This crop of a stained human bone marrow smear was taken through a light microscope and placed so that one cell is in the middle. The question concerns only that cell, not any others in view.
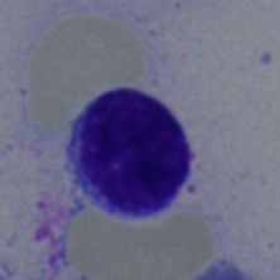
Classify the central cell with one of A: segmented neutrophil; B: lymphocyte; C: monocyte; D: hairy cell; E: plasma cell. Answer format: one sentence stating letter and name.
The right choice is option B: the cell in the middle is a lymphocyte.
